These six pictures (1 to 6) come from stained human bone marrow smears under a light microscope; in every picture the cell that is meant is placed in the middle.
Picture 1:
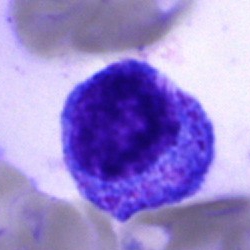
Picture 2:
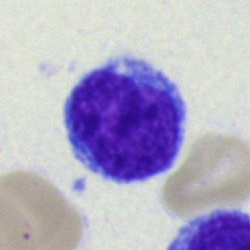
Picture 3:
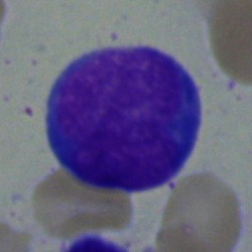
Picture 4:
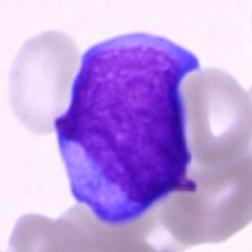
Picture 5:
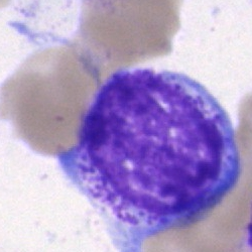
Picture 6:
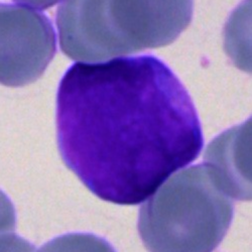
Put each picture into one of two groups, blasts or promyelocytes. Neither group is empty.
1: promyelocyte
2: blast
3: blast
4: blast
5: promyelocyte
6: blast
